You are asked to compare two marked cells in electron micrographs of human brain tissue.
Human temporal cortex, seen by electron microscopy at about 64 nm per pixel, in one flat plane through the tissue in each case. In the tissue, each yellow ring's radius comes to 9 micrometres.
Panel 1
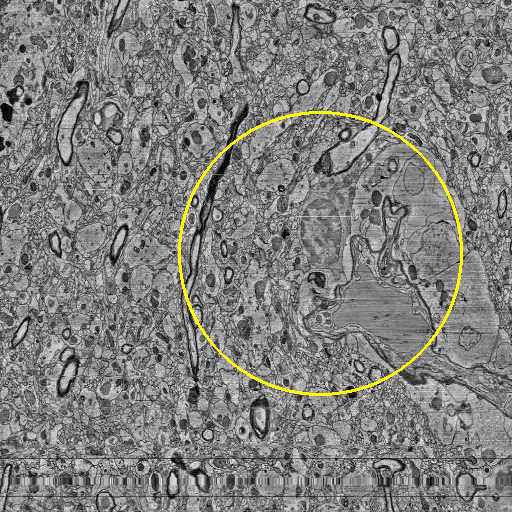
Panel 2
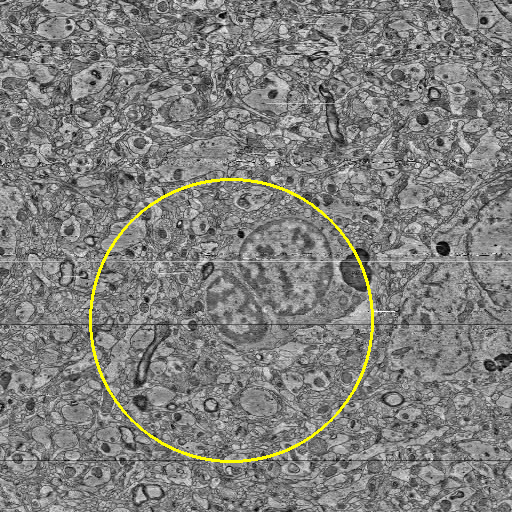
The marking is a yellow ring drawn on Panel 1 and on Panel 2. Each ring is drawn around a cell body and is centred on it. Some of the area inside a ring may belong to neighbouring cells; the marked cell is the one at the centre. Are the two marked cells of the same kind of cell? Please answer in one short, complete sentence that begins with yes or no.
Yes, the two marked cells are of the same kind.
